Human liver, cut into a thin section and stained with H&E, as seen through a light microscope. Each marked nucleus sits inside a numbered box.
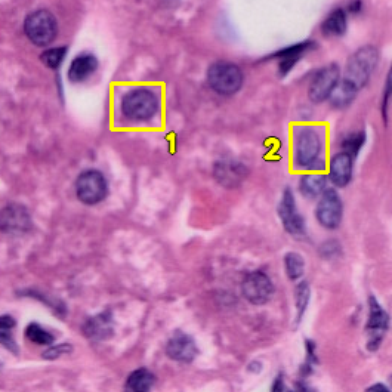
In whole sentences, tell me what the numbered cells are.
Cell 1 is a hepatocyte. Cell 2 is a cholangiocyte.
